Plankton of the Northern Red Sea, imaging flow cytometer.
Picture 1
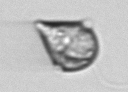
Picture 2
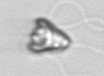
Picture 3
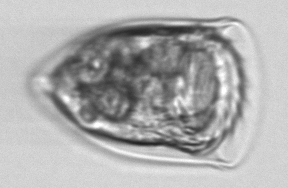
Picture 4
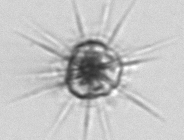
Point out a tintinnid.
That is picture 3.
